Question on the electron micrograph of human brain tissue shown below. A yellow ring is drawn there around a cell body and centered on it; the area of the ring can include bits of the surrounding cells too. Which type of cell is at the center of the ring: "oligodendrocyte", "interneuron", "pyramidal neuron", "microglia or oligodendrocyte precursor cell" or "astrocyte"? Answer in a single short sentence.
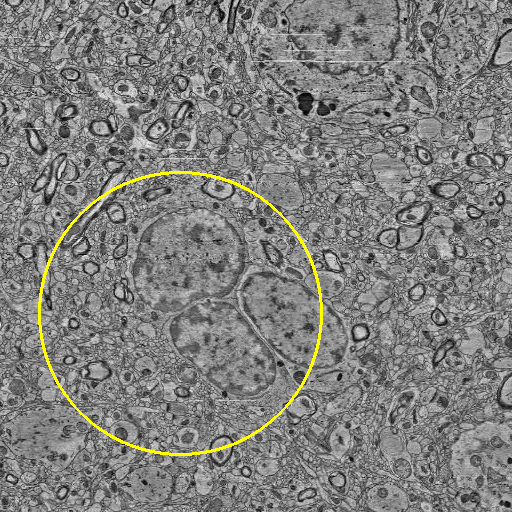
The ring is centered on an oligodendrocyte.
